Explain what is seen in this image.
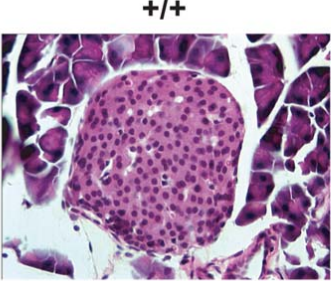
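A rounded, sharply bounded cluster of pale pink-staining cells sits in the middle of the field, surrounded by lobules of much darker purple cells. The cells of the cluster are small and closely packed, each with a round, evenly dark nucleus and modest pale cytoplasm, and thin capillary spaces run between them. The surrounding cells are larger, pyramidal and arranged in groups, with deep purple cytoplasm toward their bases and nuclei at the outer edge. Thin clear spaces of connective tissue separate the lobules. This is a pancreatic islet of endocrine cells embedded in exocrine acinar tissue.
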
